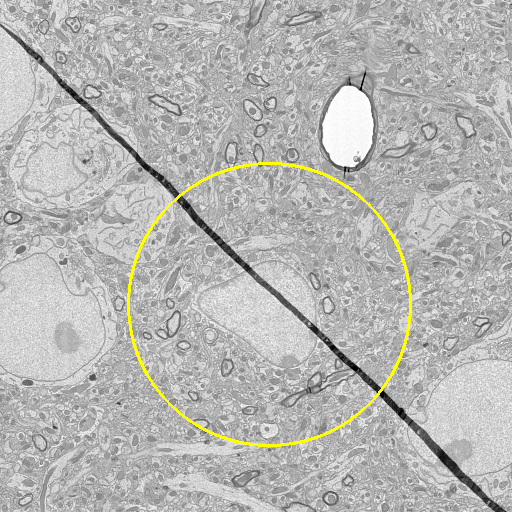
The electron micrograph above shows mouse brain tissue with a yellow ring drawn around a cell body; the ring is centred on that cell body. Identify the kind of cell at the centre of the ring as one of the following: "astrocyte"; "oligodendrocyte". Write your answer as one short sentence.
The cell at the centre of the ring is an astrocyte.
